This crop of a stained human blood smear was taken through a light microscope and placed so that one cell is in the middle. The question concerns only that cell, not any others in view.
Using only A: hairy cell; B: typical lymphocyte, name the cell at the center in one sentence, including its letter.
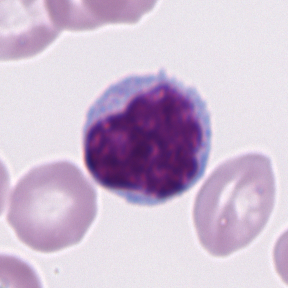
The central cell of the crop is a typical lymphocyte, which makes B the correct option.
